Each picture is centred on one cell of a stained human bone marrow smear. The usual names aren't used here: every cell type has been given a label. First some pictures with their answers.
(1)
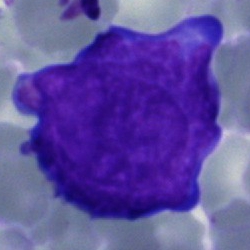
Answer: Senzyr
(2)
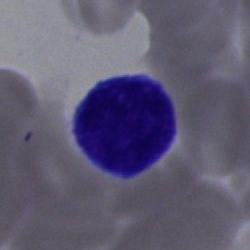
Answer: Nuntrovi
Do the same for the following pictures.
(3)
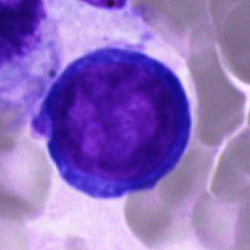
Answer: Senzyr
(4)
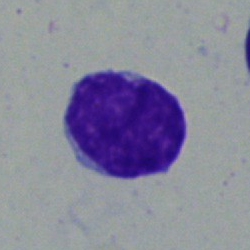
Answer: Nuntrovi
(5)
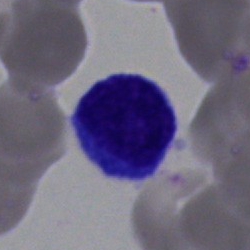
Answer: Nuntrovi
